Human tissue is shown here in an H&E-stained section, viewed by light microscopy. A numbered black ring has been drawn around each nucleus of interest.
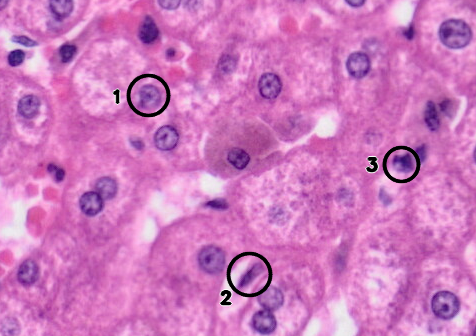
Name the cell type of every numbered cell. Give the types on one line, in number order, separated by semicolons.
hepatocyte; Kupffer cell; fibroblast or stellate cell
